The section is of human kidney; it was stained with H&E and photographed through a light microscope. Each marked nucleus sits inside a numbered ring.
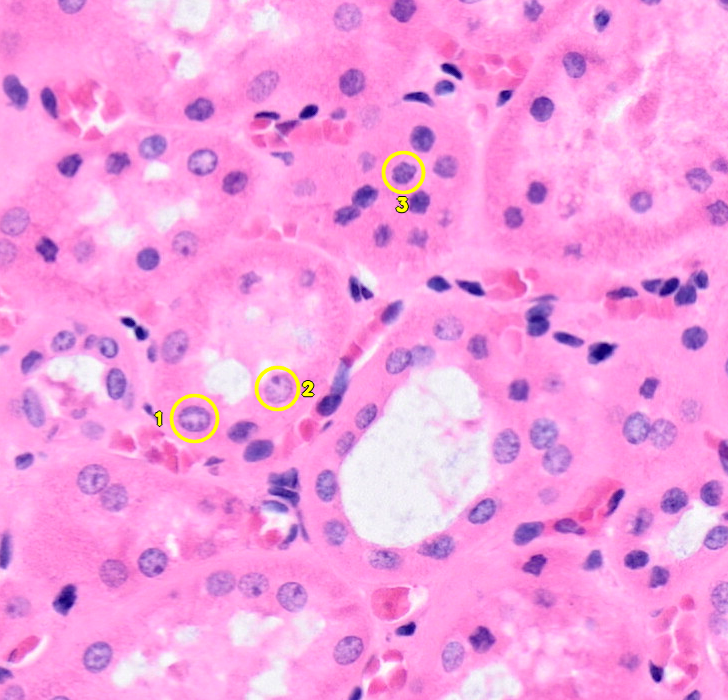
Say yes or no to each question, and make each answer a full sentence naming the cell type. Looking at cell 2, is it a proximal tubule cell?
Yes, the cell shown as number 2 is a proximal tubule cell.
